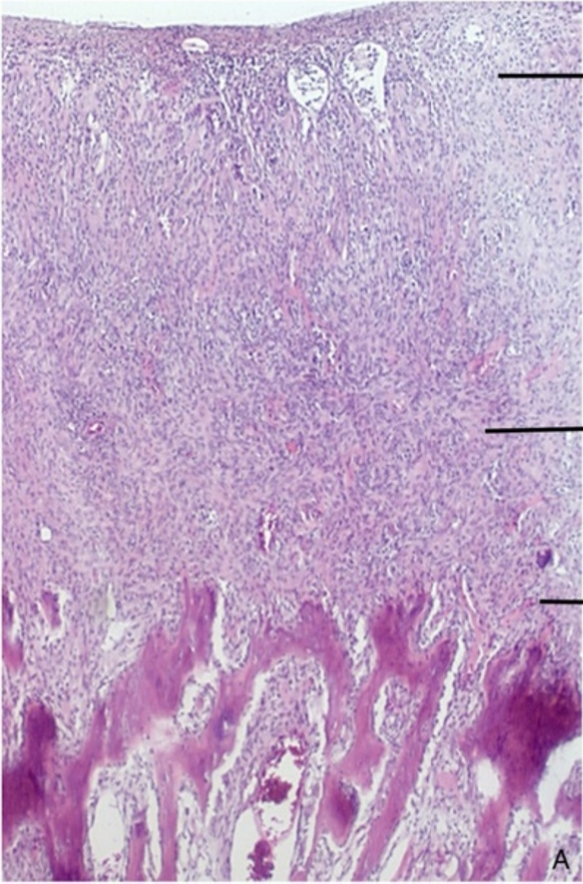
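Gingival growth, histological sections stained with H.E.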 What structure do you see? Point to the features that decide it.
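Bone trabeculae. The lower part of the field holds elongated pink to purple mineralized bars. The bars run roughly parallel to each other, separated by loose tissue and vessels. A fairly sharp boundary divides them from the dense cellular area above.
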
